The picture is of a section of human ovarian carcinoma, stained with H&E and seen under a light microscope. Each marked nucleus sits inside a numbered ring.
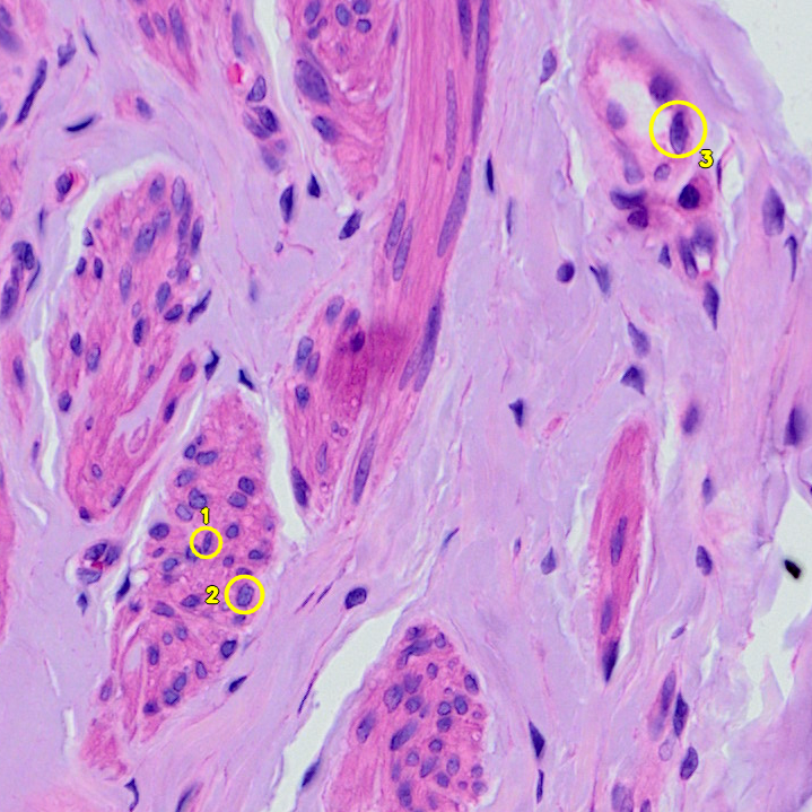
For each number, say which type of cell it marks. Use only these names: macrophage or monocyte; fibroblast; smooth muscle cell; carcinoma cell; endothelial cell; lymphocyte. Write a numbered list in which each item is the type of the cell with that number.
1. smooth muscle cell
2. smooth muscle cell
3. endothelial cell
